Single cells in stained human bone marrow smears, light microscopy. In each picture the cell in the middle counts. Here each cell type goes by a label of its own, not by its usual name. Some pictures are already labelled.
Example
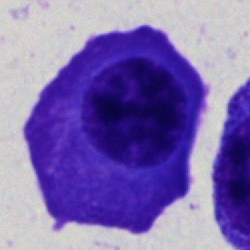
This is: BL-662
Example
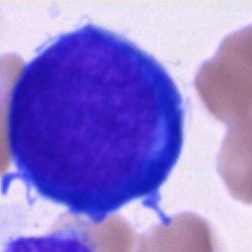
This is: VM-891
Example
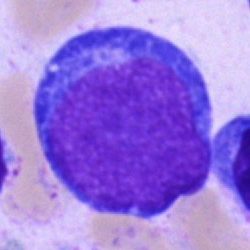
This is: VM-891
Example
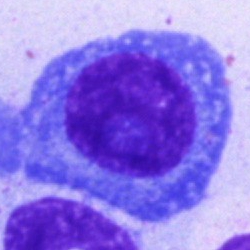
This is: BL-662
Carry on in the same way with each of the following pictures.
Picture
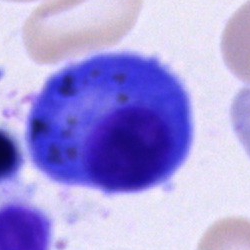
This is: BL-662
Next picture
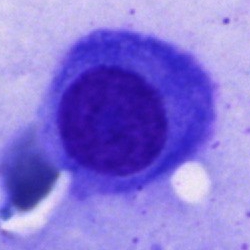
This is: BL-662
